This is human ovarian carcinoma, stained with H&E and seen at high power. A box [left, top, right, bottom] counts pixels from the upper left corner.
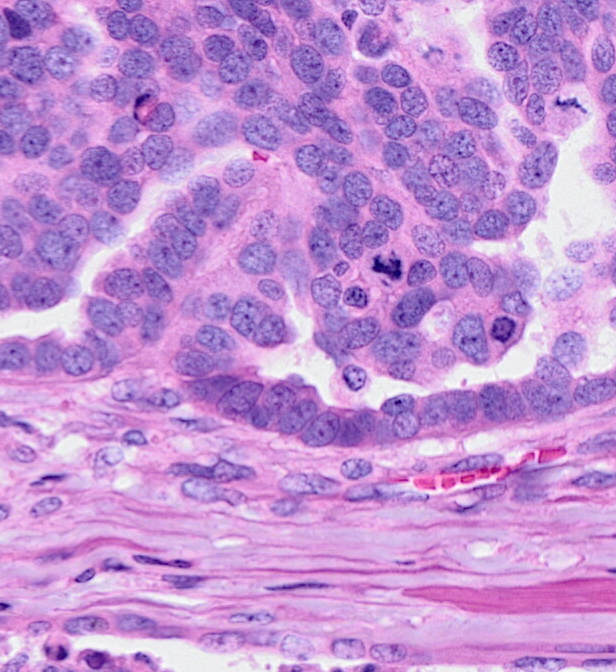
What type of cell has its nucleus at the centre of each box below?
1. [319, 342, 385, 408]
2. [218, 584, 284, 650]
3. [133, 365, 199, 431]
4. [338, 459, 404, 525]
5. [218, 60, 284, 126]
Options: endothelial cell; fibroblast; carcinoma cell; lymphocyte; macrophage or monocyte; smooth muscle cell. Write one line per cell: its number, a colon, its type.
1: macrophage or monocyte
2: fibroblast
3: fibroblast
4: endothelial cell
5: carcinoma cell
